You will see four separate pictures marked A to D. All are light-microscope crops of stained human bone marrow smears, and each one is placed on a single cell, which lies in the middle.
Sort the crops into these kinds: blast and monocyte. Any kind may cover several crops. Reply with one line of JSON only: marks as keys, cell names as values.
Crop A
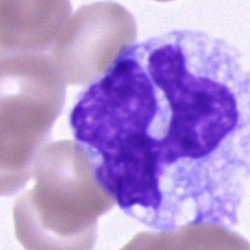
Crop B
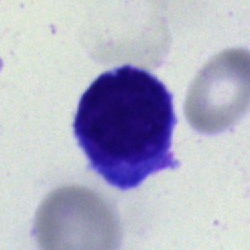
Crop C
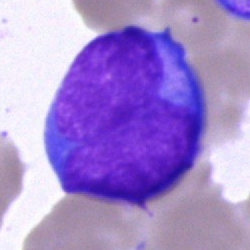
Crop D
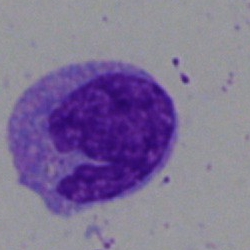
{"A": "monocyte", "B": "blast", "C": "blast", "D": "monocyte"}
